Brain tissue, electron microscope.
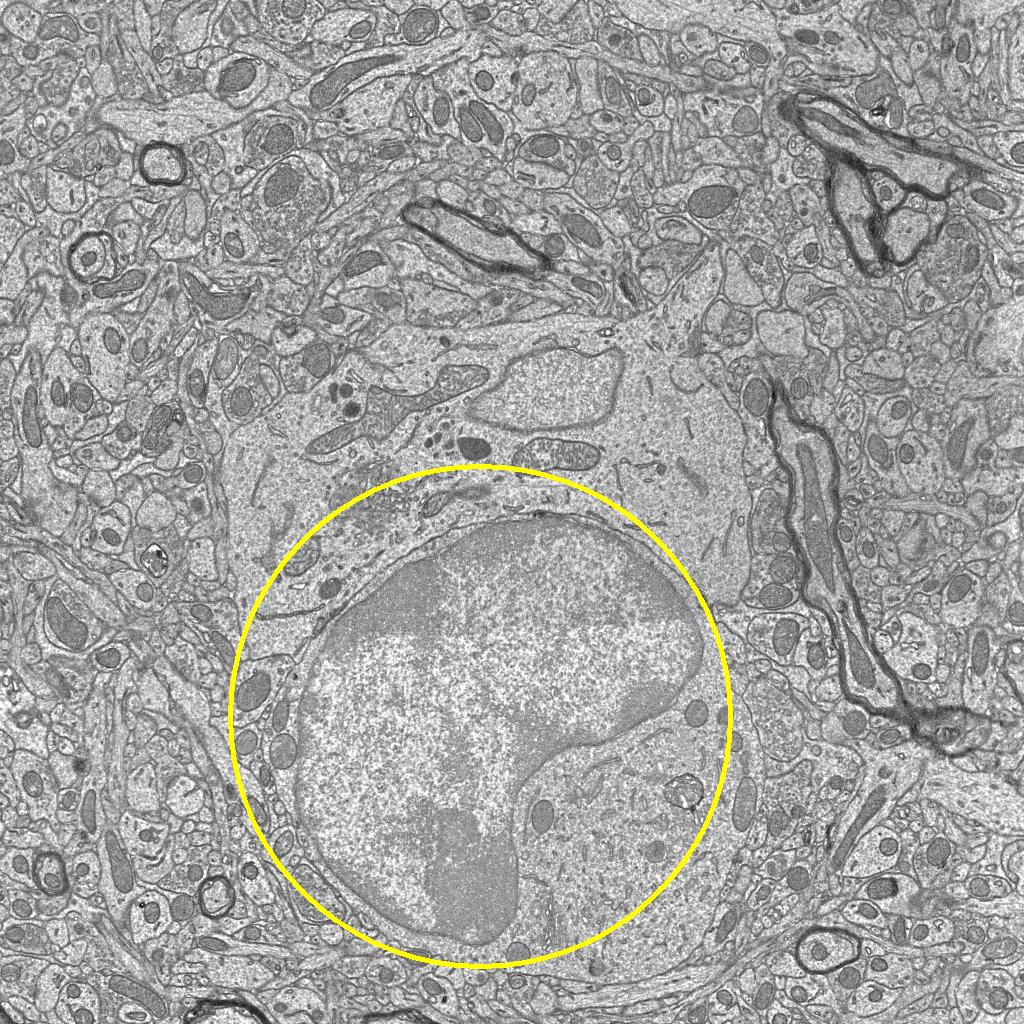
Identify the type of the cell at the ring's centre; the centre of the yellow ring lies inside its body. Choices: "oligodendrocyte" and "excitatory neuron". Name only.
oligodendrocyte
